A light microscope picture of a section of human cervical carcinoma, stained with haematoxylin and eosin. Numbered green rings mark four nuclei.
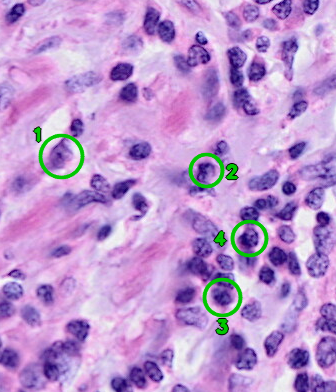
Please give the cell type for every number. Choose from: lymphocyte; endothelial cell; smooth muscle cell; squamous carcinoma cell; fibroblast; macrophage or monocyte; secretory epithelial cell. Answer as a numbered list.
1. macrophage or monocyte
2. lymphocyte
3. lymphocyte
4. lymphocyte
